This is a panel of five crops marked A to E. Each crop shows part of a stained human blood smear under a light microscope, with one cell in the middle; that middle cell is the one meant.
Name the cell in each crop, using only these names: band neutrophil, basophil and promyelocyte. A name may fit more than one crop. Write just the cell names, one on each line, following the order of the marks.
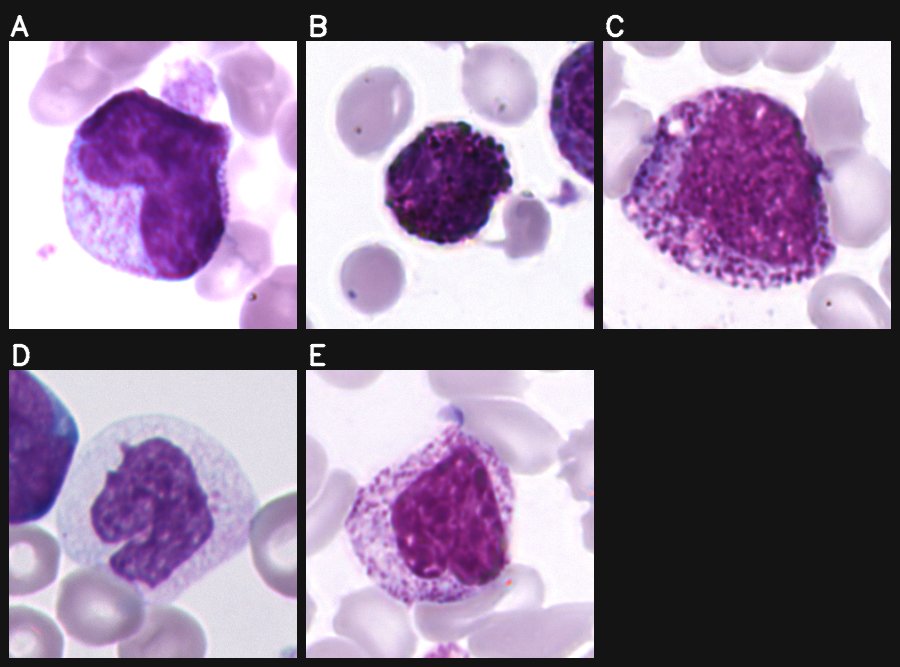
band neutrophil
basophil
promyelocyte
band neutrophil
band neutrophil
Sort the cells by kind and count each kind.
band neutrophil: 3
basophil: 1
promyelocyte: 1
